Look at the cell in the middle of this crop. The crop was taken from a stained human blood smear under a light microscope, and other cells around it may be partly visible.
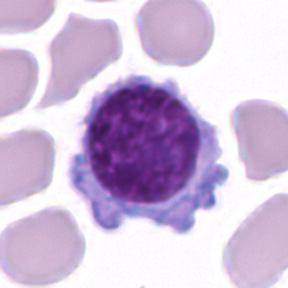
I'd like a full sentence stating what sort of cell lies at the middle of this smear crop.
The central cell shown in this smear crop is a plasma cell.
